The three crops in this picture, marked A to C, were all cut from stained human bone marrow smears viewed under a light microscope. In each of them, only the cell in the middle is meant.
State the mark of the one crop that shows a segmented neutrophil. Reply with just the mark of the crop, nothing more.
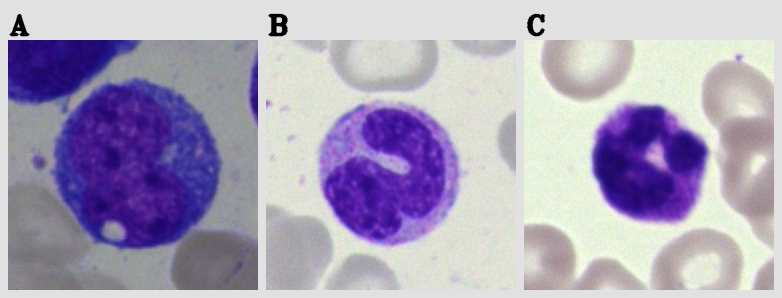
C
